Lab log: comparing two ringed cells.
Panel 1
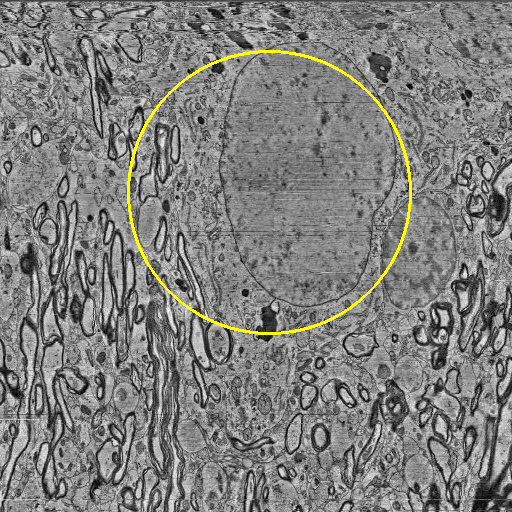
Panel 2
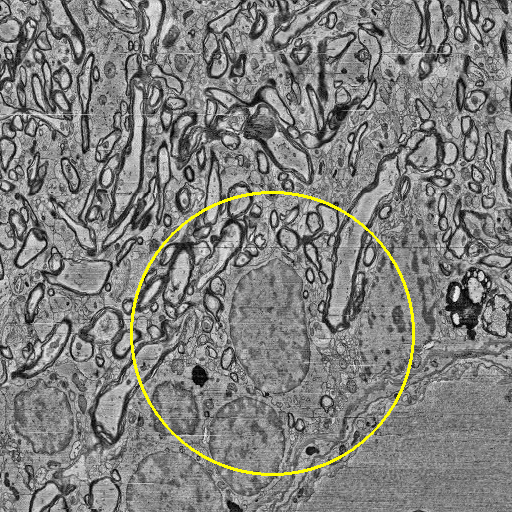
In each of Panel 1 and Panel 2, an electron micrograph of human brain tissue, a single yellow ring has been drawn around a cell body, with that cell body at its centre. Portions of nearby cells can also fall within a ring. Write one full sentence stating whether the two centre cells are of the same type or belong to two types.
The cells at the ring centres in Panel 1 and Panel 2 belong to two types.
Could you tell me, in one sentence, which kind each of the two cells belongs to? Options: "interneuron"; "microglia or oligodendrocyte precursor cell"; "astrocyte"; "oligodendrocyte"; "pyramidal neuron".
At the centre of the first ring sits a pyramidal neuron, and at the centre of the second sits an oligodendrocyte.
